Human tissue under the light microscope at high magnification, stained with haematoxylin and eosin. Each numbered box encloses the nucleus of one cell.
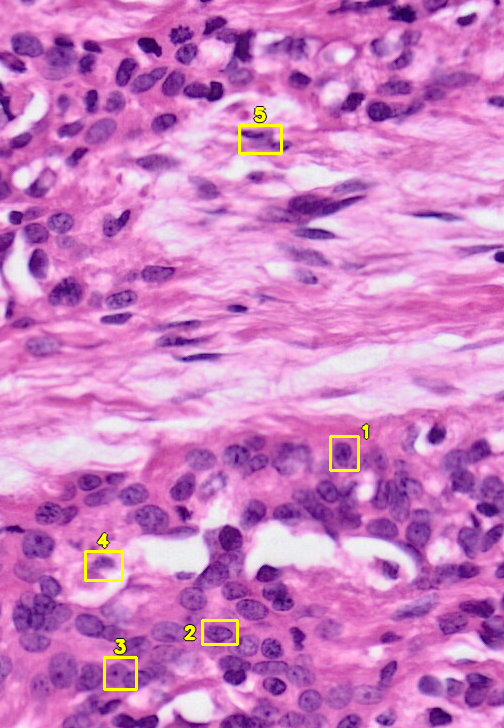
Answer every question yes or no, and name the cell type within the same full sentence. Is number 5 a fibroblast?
Yes, cell number 5 is classified as a fibroblast.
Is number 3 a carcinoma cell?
Yes, the cell pointed out as number 3 is a carcinoma cell.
